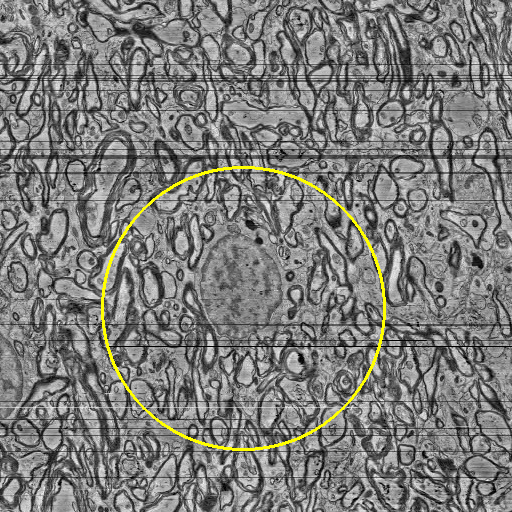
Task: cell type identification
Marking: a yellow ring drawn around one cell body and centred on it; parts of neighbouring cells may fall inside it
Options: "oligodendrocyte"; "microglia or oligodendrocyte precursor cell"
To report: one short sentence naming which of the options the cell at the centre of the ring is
The cell at the centre of the ring is an oligodendrocyte.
